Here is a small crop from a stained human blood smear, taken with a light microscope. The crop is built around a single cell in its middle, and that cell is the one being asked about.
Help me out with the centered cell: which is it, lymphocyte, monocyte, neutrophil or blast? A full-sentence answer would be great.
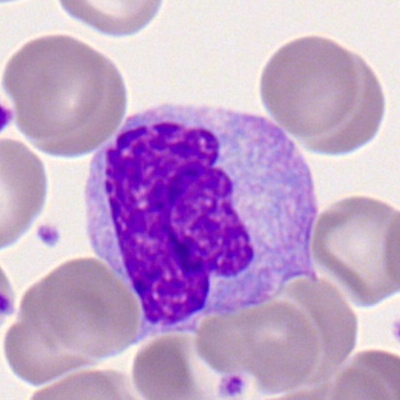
The cell centred in this crop is categorized as a monocyte.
